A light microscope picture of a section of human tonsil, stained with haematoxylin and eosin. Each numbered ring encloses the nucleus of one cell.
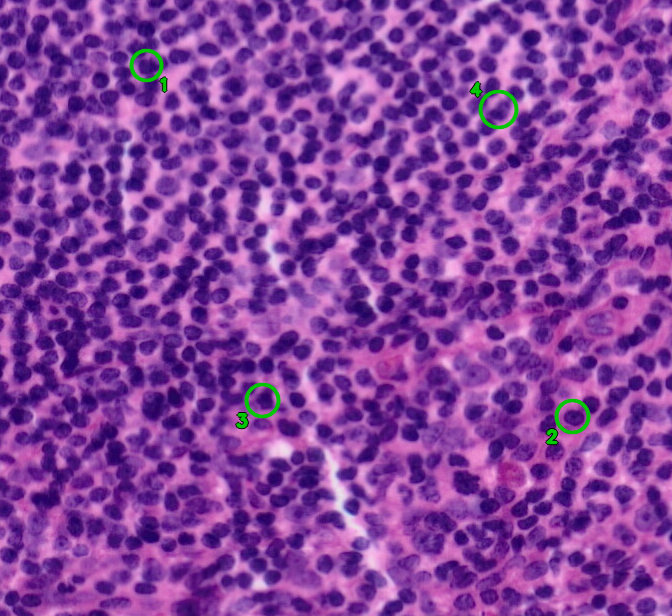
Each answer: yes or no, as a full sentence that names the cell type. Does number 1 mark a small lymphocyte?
Yes, the numbered cell 1 is a small lymphocyte.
